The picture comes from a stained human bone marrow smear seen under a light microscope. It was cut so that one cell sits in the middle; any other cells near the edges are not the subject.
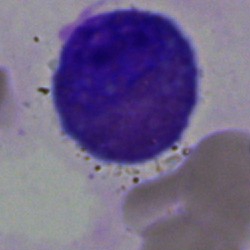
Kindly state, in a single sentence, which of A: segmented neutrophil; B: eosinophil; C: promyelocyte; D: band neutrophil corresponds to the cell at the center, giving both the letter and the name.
What option B states is correct, the central cell being an eosinophil.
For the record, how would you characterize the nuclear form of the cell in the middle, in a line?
Between us, the nucleus here is just one compact mass, round, oval or kidney-shaped.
